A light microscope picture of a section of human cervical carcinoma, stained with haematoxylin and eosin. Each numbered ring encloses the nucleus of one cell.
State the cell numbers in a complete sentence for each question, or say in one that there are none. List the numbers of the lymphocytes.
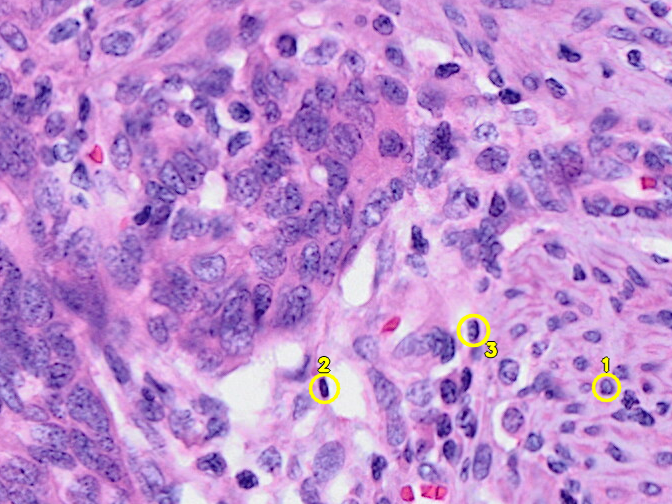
Cells 2 and 3 are recognised here as lymphocytes.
